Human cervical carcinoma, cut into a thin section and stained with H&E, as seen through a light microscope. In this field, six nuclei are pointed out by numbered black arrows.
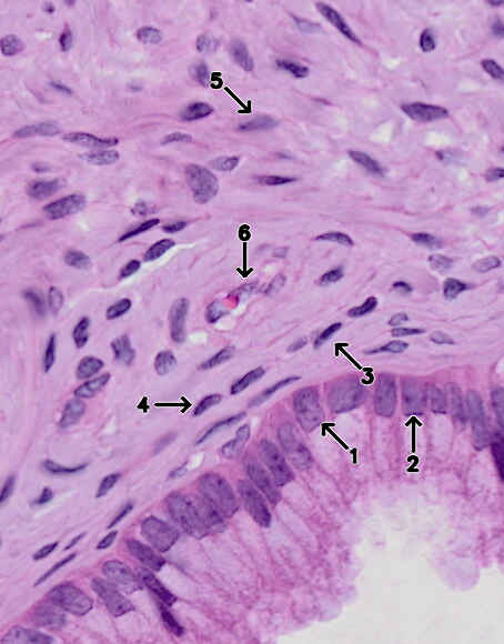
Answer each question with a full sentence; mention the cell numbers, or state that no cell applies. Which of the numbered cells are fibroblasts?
The cells to which the numbers 3, 4 and 5 refer are fibroblasts.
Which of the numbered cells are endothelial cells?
Cell 6, and no other numbered cell, is an endothelial cell.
